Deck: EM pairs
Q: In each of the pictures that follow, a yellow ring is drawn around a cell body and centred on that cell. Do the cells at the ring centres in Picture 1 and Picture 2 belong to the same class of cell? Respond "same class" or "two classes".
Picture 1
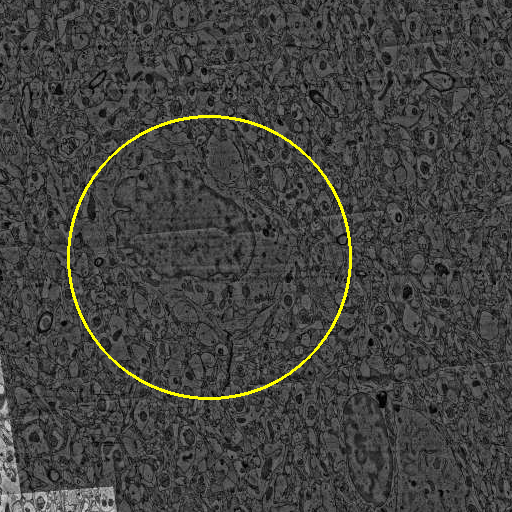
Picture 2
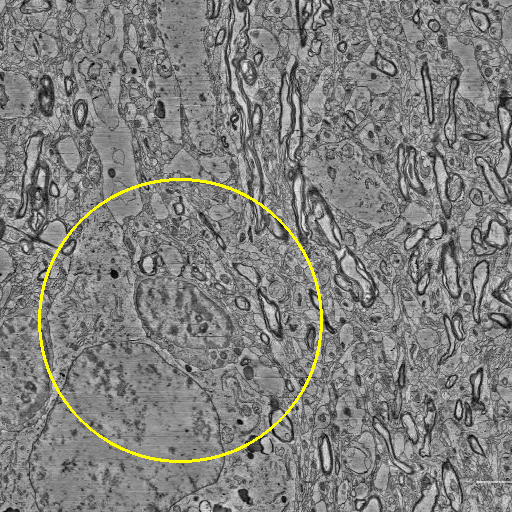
two classes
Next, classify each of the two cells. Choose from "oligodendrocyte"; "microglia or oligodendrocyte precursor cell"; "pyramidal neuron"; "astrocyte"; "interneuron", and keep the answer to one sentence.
In the first picture it is an interneuron; in the second it is an oligodendrocyte.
